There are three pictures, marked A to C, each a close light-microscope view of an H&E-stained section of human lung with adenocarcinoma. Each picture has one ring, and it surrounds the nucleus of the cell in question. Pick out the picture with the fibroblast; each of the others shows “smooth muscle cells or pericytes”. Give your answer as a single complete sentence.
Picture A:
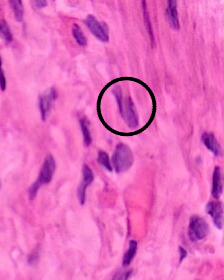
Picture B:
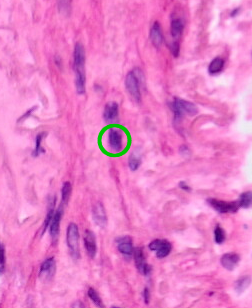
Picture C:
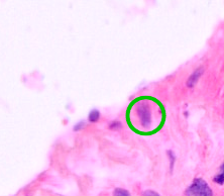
The cell in picture A is the fibroblast.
